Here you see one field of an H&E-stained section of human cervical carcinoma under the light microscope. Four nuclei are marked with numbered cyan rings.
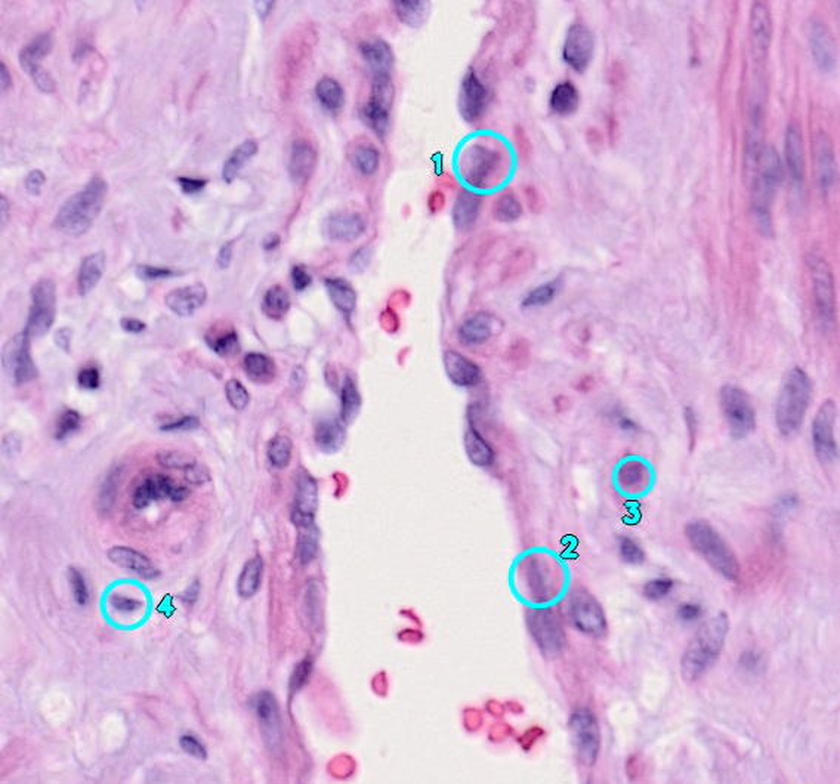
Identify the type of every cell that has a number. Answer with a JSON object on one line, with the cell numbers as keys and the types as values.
{"1": "endothelial cell", "2": "endothelial cell", "3": "smooth muscle cell", "4": "fibroblast"}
